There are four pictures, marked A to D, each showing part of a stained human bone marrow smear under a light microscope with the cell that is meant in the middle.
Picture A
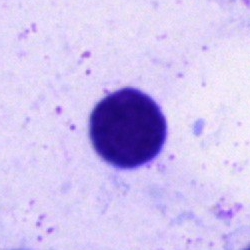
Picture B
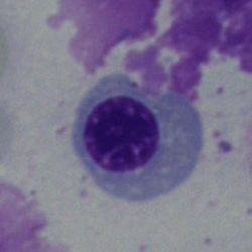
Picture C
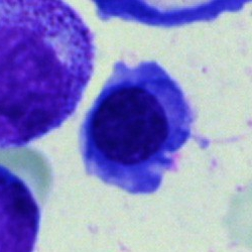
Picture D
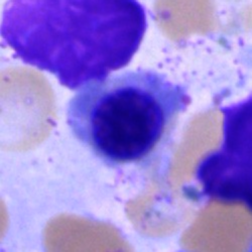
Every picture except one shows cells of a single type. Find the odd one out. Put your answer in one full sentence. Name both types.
The different one is picture A; it shows a lymphocyte, whereas all the others show erythroblasts.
